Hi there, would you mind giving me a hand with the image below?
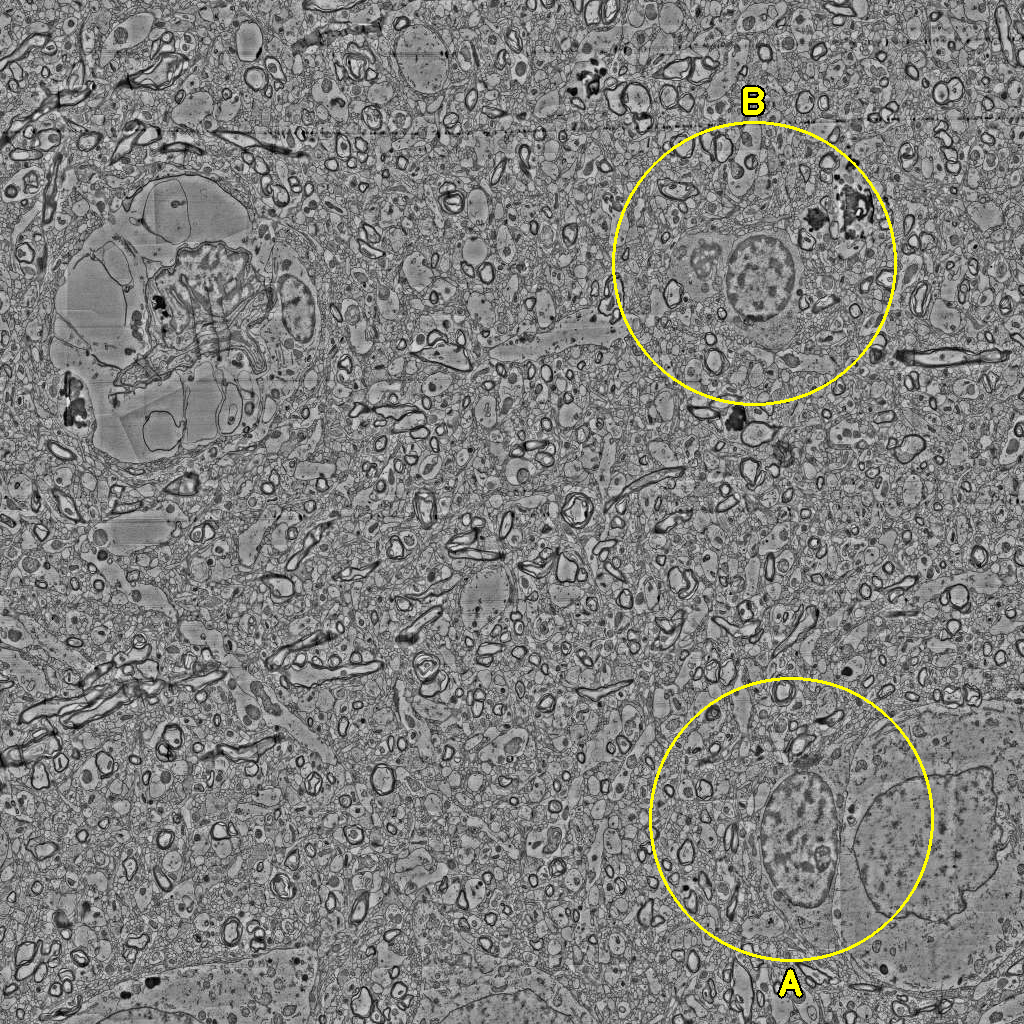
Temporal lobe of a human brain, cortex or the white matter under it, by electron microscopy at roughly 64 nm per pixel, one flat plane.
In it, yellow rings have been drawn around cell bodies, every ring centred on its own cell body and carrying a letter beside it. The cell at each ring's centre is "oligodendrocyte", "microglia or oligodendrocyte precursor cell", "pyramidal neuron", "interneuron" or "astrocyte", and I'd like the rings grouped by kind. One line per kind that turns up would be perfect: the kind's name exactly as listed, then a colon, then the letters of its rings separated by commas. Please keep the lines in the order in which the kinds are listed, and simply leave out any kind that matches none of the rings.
oligodendrocyte: A, B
